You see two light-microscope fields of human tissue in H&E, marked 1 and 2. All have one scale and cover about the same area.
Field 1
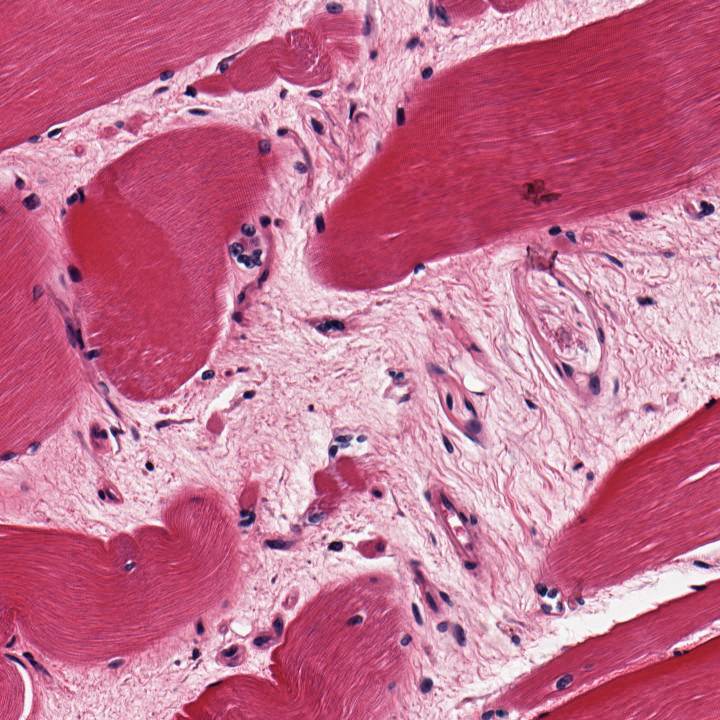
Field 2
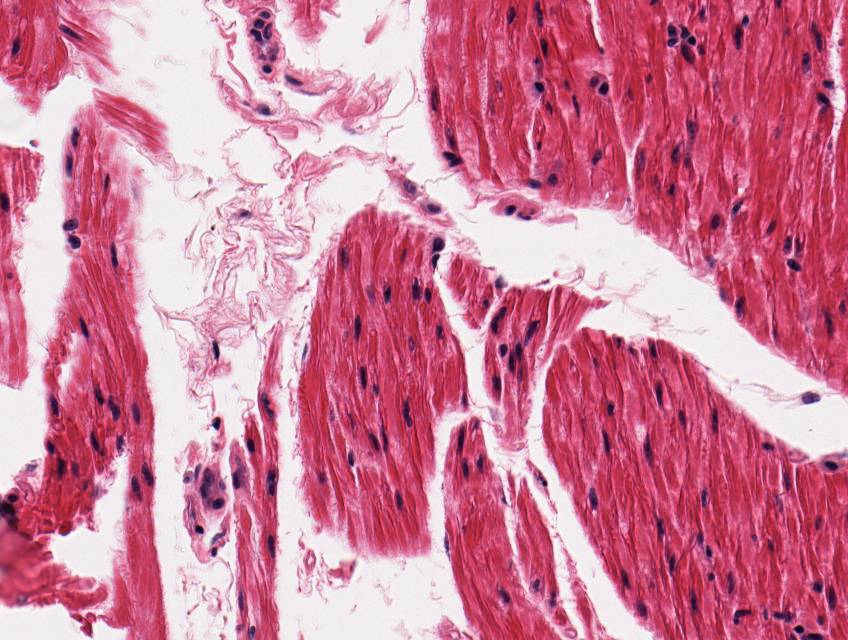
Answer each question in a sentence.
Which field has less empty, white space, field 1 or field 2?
Unstained space takes up less of field 1 than of field 2.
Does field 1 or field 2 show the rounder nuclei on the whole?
On the whole the nuclei of field 1 are rounder than those of field 2.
